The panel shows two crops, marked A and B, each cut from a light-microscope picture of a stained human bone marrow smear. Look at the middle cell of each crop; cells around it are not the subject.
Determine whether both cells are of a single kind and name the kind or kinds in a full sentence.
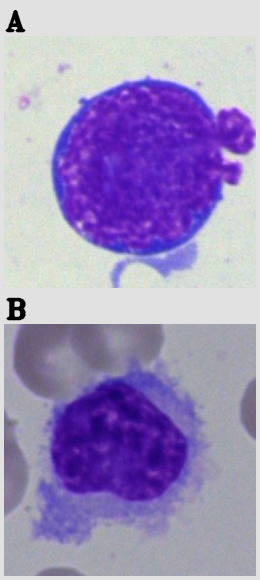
No, crop A contains a blast, while crop B contains a hairy cell.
